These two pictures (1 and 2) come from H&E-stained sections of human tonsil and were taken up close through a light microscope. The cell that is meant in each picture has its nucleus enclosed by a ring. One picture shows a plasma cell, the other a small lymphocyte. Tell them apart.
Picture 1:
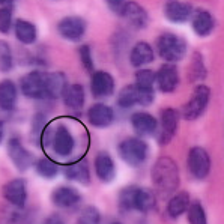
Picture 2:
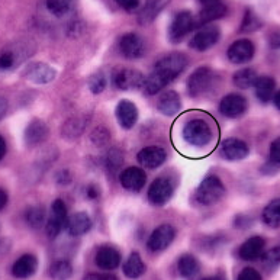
1: small lymphocyte
2: plasma cell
